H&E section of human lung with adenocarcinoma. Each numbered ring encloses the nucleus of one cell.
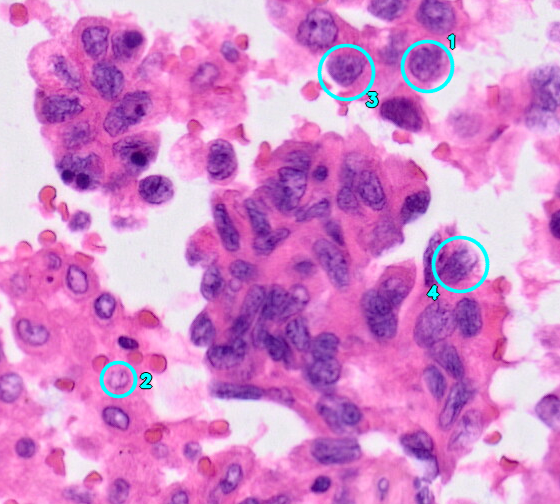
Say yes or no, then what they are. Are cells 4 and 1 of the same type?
Yes, both cell 4 and cell 1 are classified as carcinoma cells.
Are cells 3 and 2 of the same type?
No, cell 3 is to be identified as a carcinoma cell and cell 2 as a macrophage or monocyte.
